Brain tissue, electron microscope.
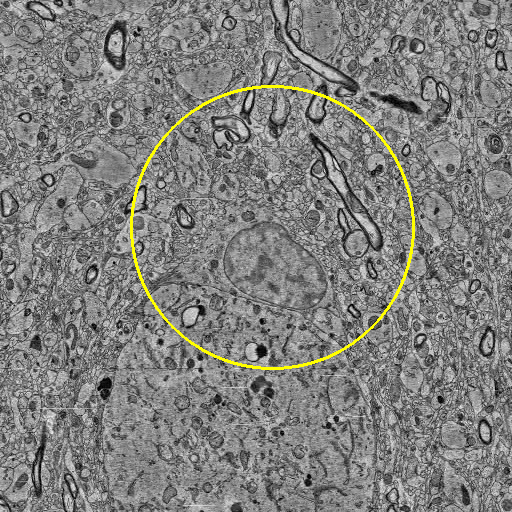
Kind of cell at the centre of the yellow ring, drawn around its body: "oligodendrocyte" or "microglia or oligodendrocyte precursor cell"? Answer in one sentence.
The ring's centre falls on an oligodendrocyte.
